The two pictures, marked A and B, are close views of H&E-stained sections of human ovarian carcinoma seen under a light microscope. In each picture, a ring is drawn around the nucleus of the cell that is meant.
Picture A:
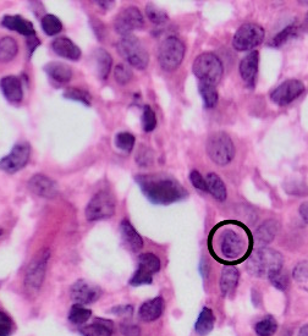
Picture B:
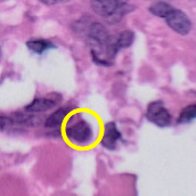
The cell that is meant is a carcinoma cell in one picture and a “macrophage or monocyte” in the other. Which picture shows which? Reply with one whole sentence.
Picture B shows a carcinoma cell, while picture A shows a “macrophage or monocyte”.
